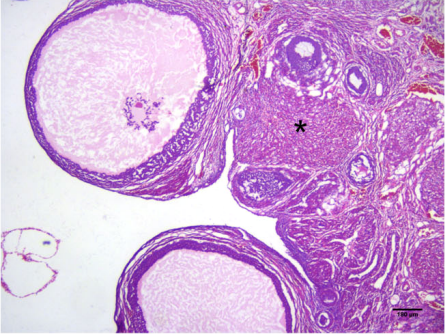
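Ovary with large fluid-filled follicles and a corpus luteum. The largest follicle has a pale, finely reticulated antral cavity surrounded by a thick, multilayered wall of densely packed purple granulosa cells, with a small cluster of cells floating in the antrum. Beside it lies a solid mass of closely packed, pink-staining cells with ample cytoplasm, forming a corpus luteum without a cavity. Several small follicles with a central oocyte surrounded by cuboidal cells lie nearby, and red blood-filled vessels appear in the stroma at the upper right.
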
